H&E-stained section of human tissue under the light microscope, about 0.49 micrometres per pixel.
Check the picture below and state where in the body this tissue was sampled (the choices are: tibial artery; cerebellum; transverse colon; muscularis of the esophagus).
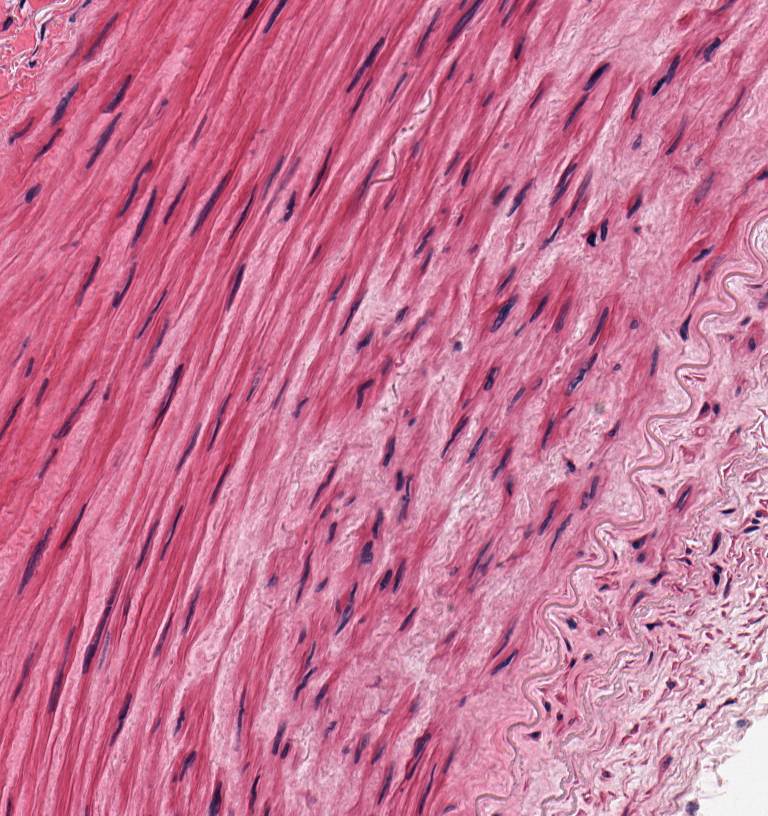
tibial artery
